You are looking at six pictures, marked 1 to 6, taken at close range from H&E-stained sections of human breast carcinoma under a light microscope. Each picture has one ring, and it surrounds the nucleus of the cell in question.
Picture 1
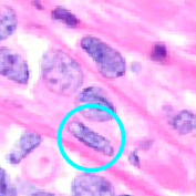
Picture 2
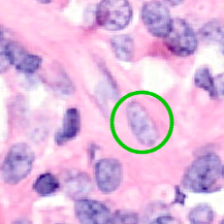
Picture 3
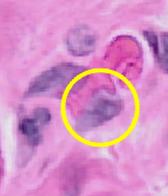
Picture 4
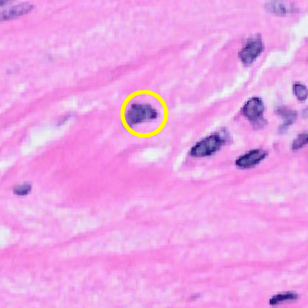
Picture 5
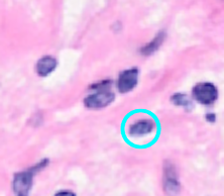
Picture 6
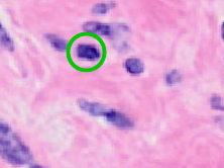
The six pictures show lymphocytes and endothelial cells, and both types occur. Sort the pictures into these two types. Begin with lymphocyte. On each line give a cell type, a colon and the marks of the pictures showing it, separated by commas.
lymphocyte: 4, 5, 6
endothelial cell: 1, 2, 3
